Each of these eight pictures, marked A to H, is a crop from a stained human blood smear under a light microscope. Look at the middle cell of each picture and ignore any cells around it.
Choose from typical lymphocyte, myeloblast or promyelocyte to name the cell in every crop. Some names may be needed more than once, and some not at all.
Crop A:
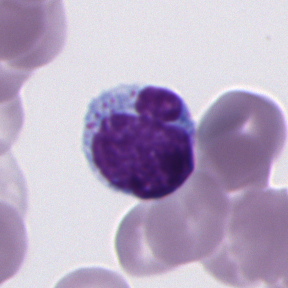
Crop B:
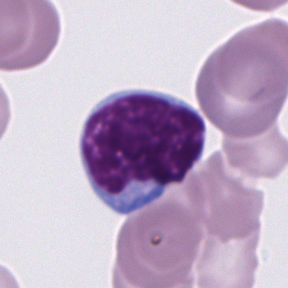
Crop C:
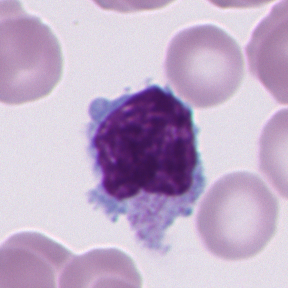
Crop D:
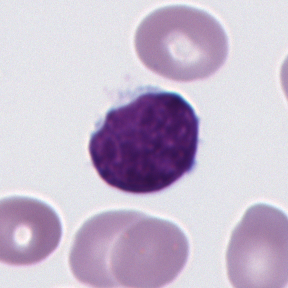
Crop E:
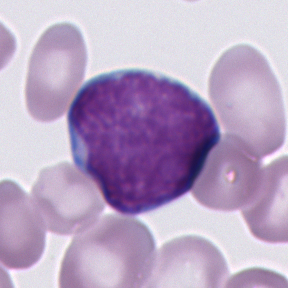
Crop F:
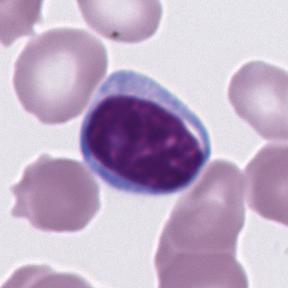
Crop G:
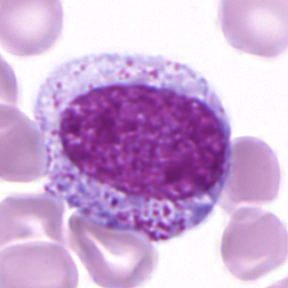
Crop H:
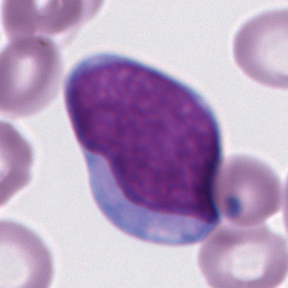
A: typical lymphocyte
B: typical lymphocyte
C: typical lymphocyte
D: typical lymphocyte
E: myeloblast
F: typical lymphocyte
G: promyelocyte
H: myeloblast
